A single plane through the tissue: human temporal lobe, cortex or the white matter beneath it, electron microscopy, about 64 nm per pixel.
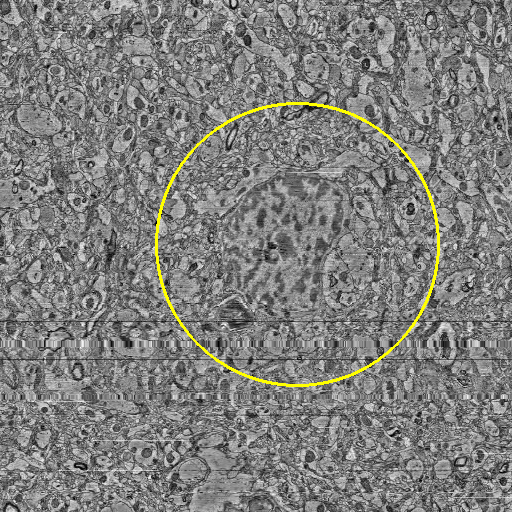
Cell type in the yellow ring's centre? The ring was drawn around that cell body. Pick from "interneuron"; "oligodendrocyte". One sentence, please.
The ringed cell body is that of an oligodendrocyte.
